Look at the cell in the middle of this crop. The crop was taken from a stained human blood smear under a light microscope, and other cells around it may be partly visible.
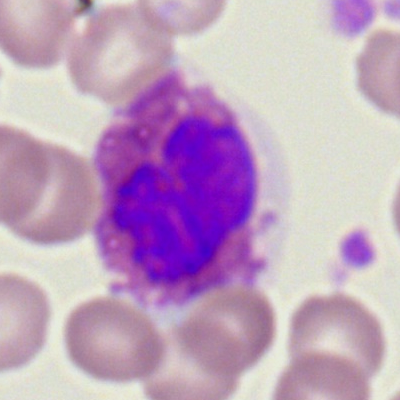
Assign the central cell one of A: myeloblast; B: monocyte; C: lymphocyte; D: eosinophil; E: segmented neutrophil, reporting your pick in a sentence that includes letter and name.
In this crop the middle cell is an eosinophil, so option D is the correct answer.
